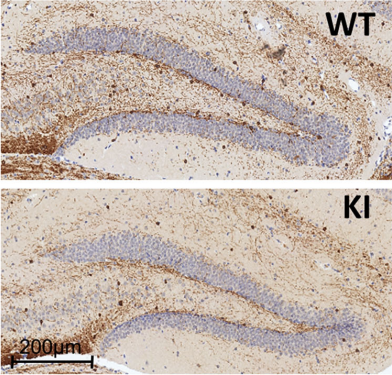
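Two sections of hippocampus each show a curved, V-shaped band of densely packed small cells whose round nuclei are counterstained blue. Around this band runs a fine meshwork of brown-stained fibres, densest toward the lower left edge, with scattered small round brown-stained cell bodies lying among the fibres. The band of packed cells itself stays largely free of the brown stain. The brown meshwork in the lower section looks somewhat paler and sparser than in the upper one.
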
